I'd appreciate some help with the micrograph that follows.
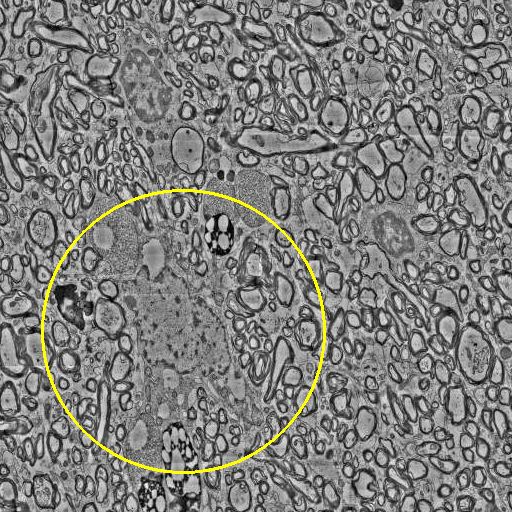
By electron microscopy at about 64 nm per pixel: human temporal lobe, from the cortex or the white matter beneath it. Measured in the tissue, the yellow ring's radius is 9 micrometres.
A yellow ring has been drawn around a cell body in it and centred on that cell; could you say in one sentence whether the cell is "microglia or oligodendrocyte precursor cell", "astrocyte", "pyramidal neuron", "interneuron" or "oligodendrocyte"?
It is an astrocyte at the centre of the ring.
